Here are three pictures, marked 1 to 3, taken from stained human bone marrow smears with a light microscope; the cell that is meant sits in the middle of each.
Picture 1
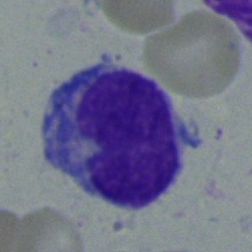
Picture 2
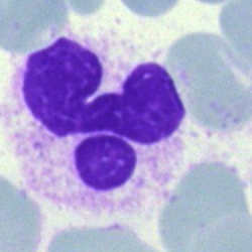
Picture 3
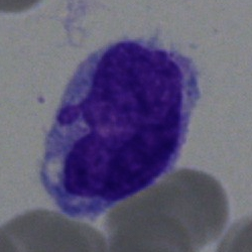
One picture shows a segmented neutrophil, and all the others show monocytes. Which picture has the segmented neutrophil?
2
